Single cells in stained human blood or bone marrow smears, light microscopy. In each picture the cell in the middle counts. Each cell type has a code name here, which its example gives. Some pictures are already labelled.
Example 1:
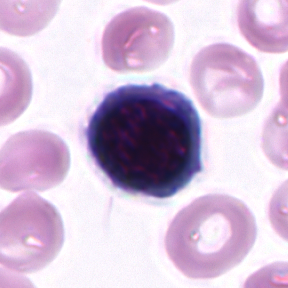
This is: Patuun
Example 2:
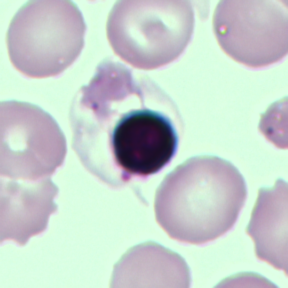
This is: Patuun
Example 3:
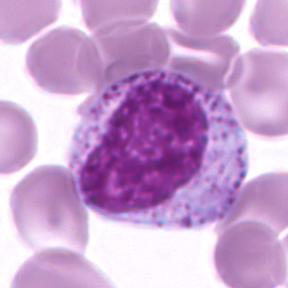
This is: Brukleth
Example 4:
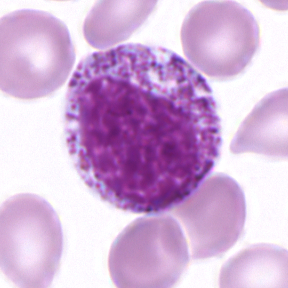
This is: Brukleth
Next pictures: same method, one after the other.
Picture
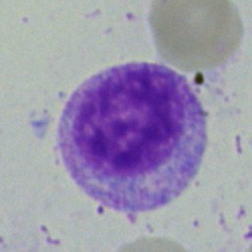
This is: Brukleth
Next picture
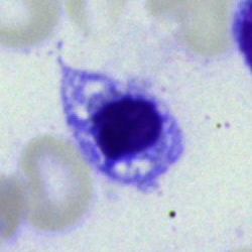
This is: Patuun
